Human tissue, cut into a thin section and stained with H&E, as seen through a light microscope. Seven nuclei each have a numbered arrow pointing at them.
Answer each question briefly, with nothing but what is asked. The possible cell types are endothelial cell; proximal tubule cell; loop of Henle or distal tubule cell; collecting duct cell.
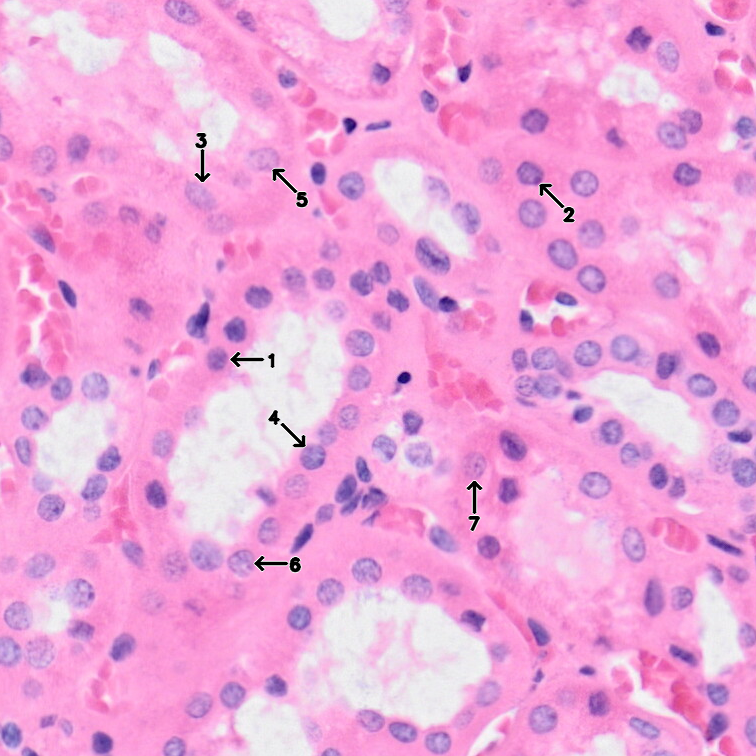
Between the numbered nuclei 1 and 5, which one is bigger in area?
5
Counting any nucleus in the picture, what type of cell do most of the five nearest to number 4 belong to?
loop of Henle or distal tubule cell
